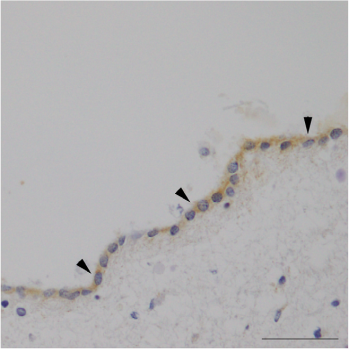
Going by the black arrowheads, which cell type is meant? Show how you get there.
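A single layer of cuboidal cells lines a free surface facing an empty space. The cells sit on loose fibrillar tissue beneath. Their cytoplasm carries fine brown granules.
Ependymal cells.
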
